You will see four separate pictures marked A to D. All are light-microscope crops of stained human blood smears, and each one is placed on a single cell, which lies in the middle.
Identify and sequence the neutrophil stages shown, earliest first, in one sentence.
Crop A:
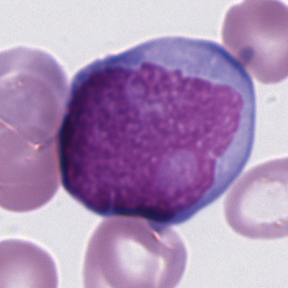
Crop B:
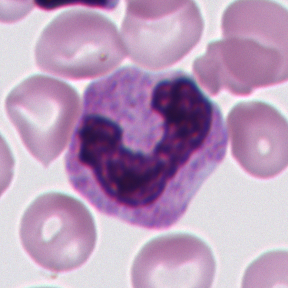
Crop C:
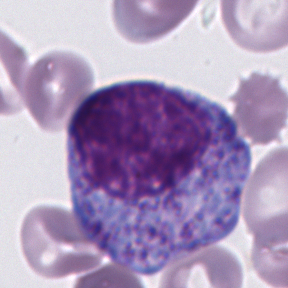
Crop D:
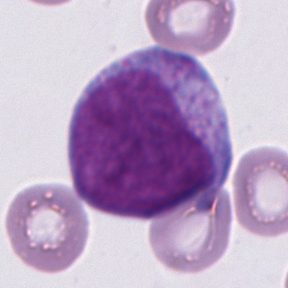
The crops, ordered from least to most mature, are crop A (a myeloblast), crop D (a promyelocyte), crop C (a myelocyte) and crop B (a segmented neutrophil).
